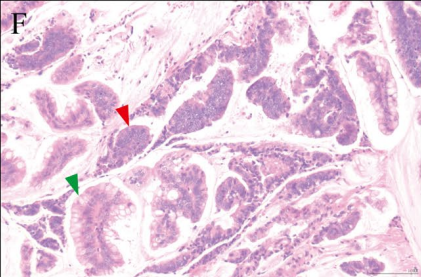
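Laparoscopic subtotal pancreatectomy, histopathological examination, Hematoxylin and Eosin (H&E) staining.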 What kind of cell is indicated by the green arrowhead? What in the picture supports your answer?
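Tall columnar. The green arrowhead points to an epithelial lining of elongated cells standing side by side. The nuclei sit in a row along the base of the lining.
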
